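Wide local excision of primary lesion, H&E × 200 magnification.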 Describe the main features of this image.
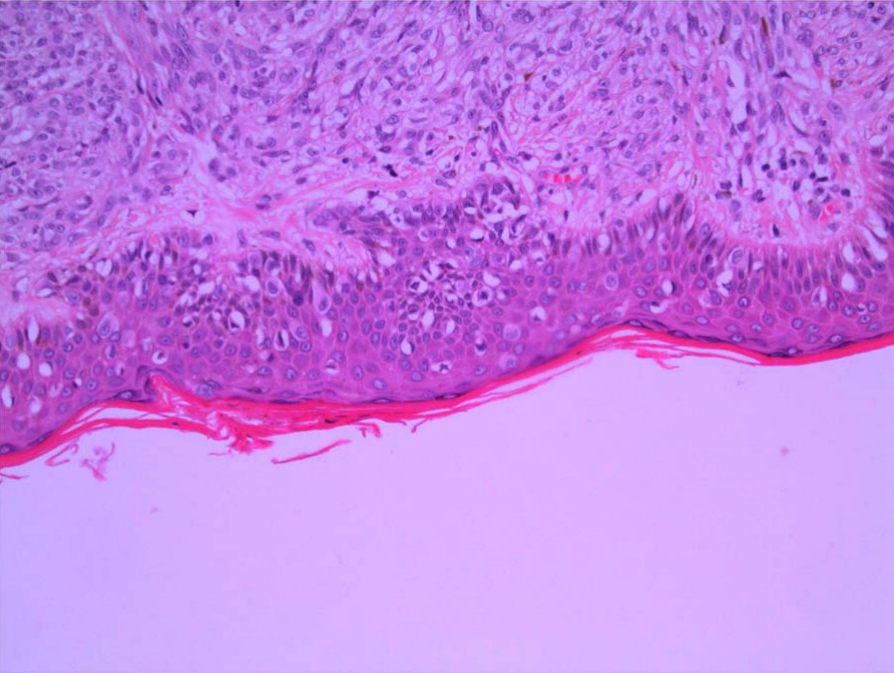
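This is skin with the epidermis running across the lower part of the field and its thin pink cornified layer along the bottom edge. Within the epidermis, single rounded cells with clear halos and enlarged dark nuclei lie scattered among the keratinocytes, many of them well above the basal layer, which is pagetoid spread. Above the epidermis, the dermis is crowded by dense sheets and nests of atypical cells with pleomorphic, hyperchromatic nuclei set in strands of pink collagen, and a few fine brown granules are scattered through it. This dense cellular infiltrate fills the dermis beyond the epidermal junction.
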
